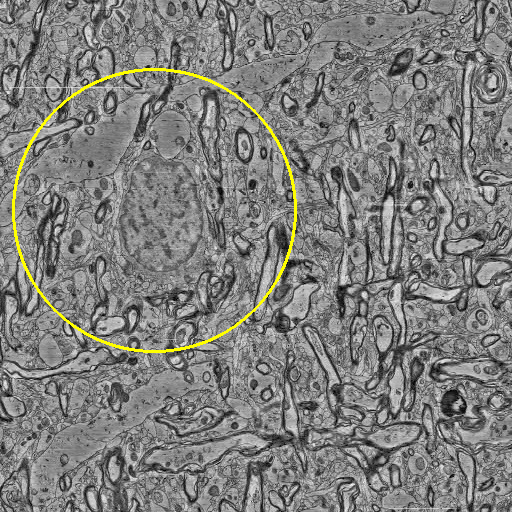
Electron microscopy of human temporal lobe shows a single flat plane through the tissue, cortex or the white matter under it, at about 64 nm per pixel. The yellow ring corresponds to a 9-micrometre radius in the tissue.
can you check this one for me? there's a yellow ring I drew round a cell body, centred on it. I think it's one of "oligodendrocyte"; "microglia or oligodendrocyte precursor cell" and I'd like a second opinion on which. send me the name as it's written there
oligodendrocyte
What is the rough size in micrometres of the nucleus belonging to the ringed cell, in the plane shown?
About 8 by 5 micrometers for the nucleus, in this plane.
